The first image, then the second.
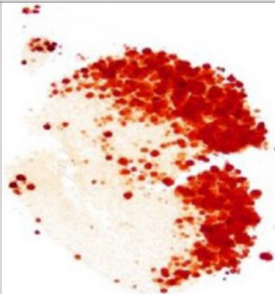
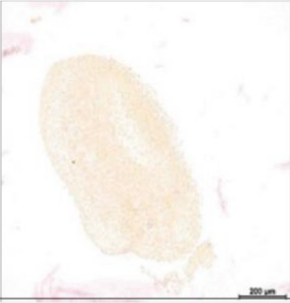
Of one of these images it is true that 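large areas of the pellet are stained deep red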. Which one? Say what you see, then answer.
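The first image. First image: dense clusters of deep red-orange round nodules fill much of the pellet. Second image: the pellet is uniformly pale beige with no deep red areas.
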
